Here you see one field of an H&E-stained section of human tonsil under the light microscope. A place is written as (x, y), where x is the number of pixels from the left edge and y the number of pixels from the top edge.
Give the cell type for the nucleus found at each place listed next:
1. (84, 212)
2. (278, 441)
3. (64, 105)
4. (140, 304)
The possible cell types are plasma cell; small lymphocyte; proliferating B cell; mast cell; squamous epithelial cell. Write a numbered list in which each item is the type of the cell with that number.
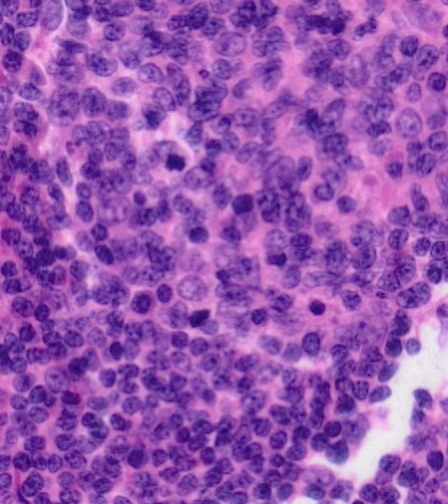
1. small lymphocyte
2. small lymphocyte
3. proliferating B cell
4. proliferating B cell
